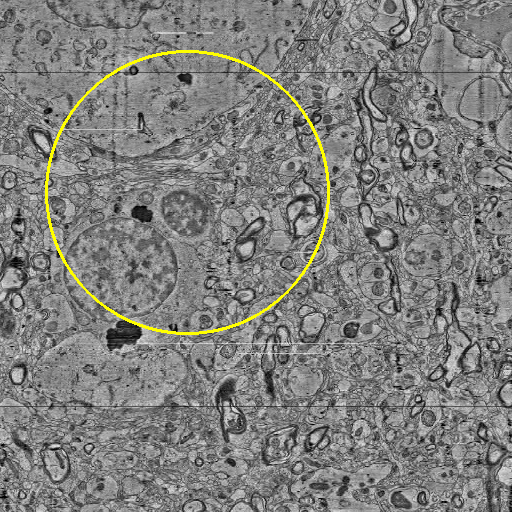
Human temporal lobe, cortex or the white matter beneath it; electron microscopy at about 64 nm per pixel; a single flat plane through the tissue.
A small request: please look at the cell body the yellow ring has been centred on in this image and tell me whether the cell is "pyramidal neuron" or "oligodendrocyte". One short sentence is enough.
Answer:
The cell marked by the ring is an oligodendrocyte.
